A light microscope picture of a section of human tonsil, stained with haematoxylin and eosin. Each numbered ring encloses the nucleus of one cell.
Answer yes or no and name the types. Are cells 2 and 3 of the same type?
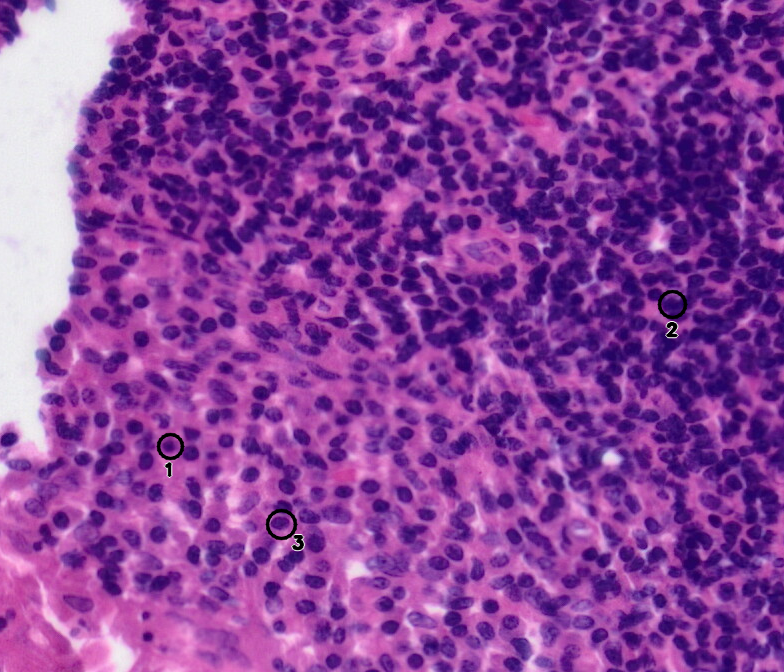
No, cell 2 is a small lymphocyte and cell 3 is a plasma cell.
